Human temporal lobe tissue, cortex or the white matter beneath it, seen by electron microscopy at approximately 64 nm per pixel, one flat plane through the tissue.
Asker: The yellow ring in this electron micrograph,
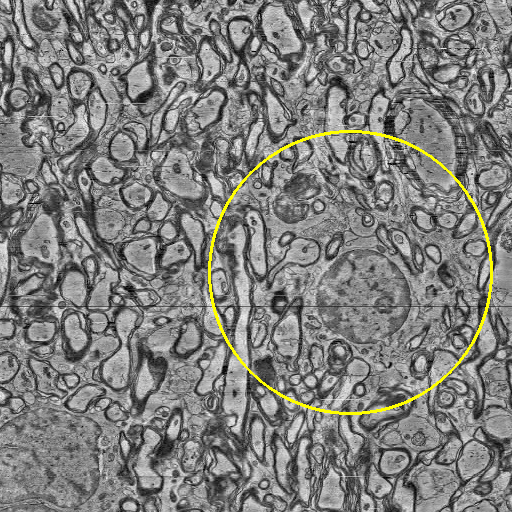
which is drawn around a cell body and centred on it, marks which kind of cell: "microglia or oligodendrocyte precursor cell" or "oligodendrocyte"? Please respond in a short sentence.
The marked cell is a microglial cell or oligodendrocyte precursor cell.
